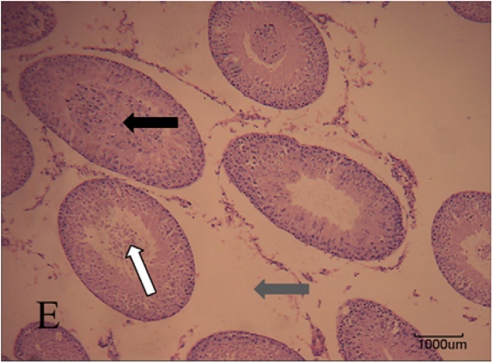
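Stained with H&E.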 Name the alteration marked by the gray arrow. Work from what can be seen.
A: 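Enlarged spaces between the seminiferous tubules. The gray arrow lies in a broad empty area between tubules. Thin wisps of tissue float in the gaps. The tubules stand widely separated.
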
